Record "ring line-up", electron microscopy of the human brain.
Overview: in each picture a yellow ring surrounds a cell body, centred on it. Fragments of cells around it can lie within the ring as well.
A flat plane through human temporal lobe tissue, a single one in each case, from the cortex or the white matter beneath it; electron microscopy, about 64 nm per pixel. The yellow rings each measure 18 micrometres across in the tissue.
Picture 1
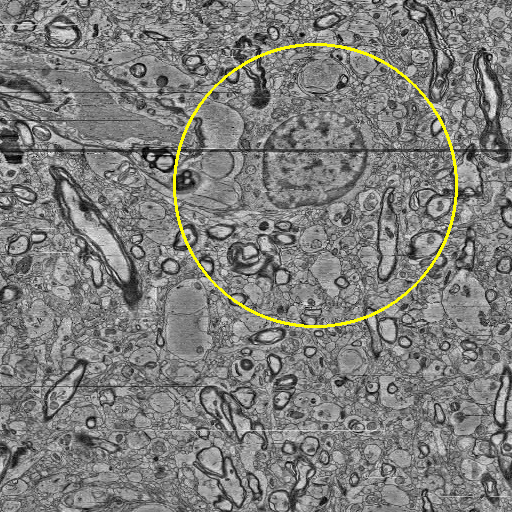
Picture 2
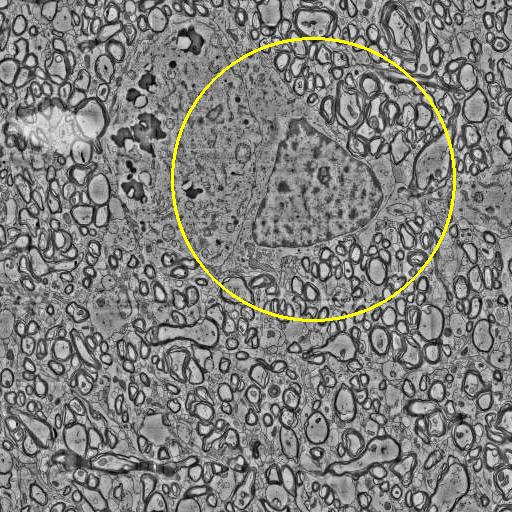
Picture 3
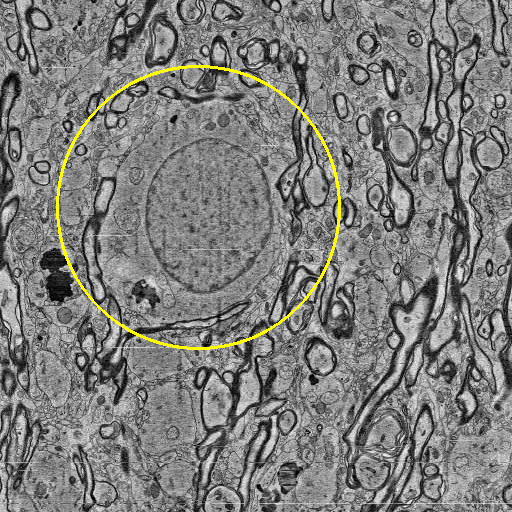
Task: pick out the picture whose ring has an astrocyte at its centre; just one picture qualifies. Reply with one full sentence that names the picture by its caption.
Going by the cell at the ring's centre, the right choice is Picture 3.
